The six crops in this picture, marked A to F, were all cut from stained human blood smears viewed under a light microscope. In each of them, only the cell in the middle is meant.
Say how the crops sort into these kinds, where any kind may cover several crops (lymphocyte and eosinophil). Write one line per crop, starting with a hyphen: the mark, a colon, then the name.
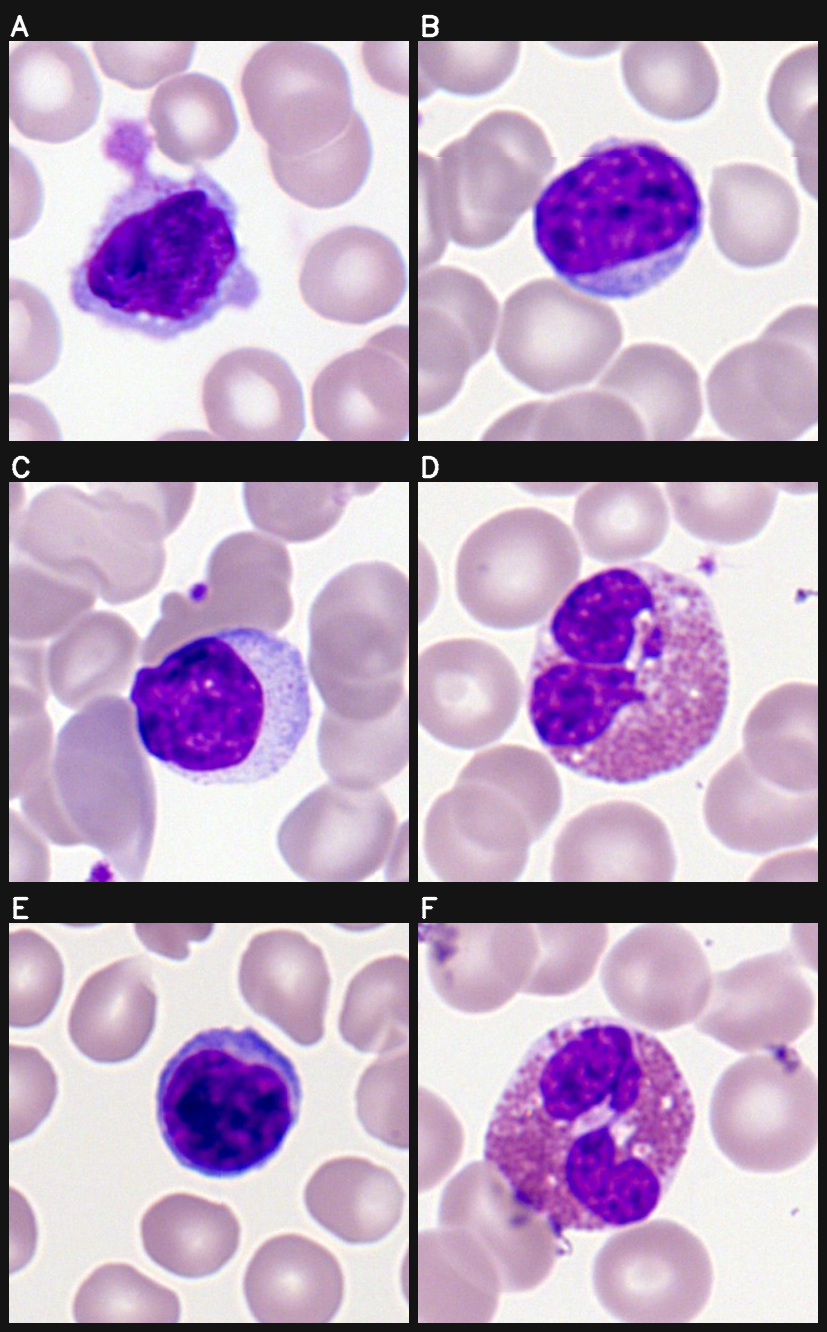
- A: lymphocyte
- B: lymphocyte
- C: lymphocyte
- D: eosinophil
- E: lymphocyte
- F: eosinophil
